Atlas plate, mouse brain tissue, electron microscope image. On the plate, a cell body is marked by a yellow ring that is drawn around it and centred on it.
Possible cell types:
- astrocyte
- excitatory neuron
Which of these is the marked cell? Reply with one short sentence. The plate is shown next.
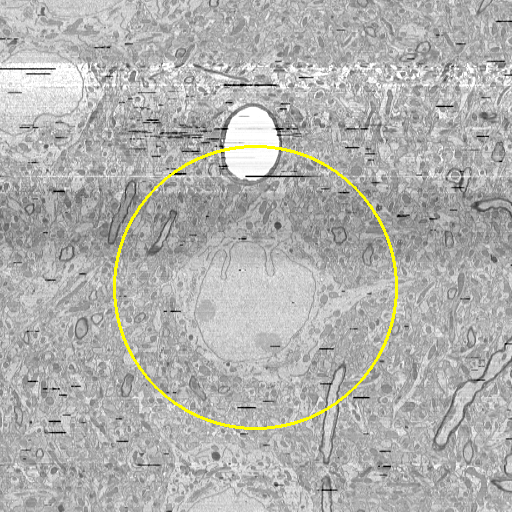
The marked cell is an excitatory neuron.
